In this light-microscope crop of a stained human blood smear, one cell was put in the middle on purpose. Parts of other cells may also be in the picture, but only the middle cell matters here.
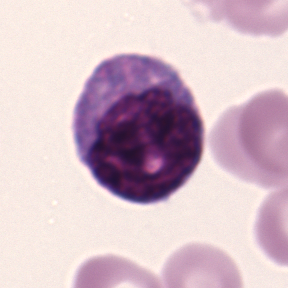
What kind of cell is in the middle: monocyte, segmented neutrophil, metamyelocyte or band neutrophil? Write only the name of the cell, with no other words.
monocyte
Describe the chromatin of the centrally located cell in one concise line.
The chromatin in this nucleus is coarsely clumped.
